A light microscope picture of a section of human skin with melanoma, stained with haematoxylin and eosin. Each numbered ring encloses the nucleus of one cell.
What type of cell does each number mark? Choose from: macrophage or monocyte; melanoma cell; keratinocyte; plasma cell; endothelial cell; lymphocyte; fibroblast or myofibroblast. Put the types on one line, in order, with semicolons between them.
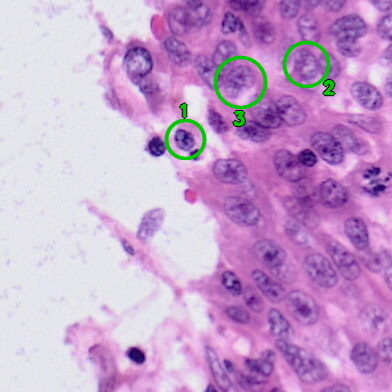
lymphocyte; melanoma cell; melanoma cell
